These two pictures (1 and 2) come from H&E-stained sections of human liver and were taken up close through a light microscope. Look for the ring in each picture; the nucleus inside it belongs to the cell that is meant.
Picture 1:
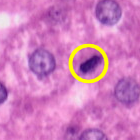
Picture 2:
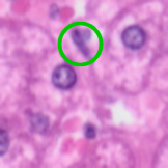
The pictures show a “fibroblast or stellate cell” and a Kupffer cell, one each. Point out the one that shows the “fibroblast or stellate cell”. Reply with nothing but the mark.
1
